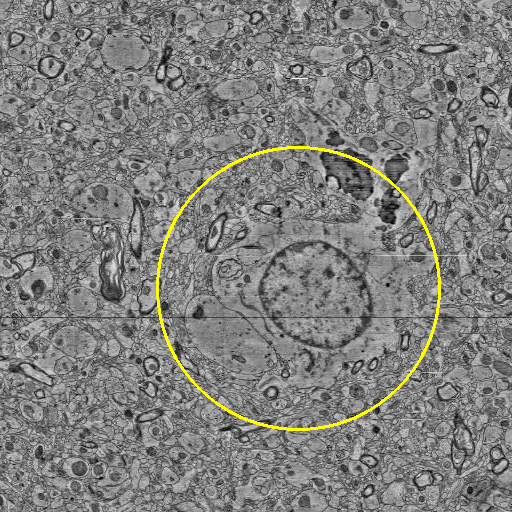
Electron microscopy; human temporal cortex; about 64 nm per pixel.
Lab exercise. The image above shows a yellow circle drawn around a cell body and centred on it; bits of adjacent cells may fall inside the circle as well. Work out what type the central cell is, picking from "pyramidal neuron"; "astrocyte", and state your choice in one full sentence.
In the image above, the cell at the centre of the yellow circle is an astrocyte.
